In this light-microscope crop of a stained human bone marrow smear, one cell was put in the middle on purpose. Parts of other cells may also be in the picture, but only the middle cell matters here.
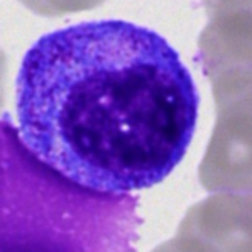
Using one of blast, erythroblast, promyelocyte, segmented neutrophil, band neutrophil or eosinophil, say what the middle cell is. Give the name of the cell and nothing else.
promyelocyte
